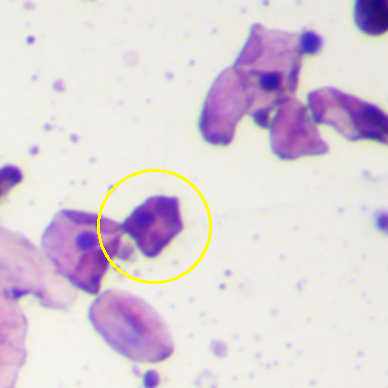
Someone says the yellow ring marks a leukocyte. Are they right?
They are not: the ring marks a nucleated epithelial cell.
